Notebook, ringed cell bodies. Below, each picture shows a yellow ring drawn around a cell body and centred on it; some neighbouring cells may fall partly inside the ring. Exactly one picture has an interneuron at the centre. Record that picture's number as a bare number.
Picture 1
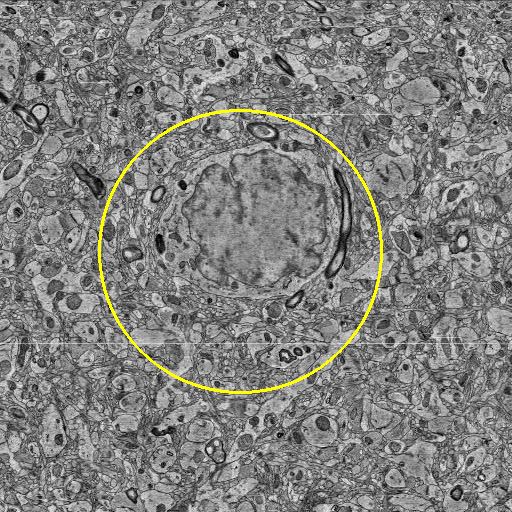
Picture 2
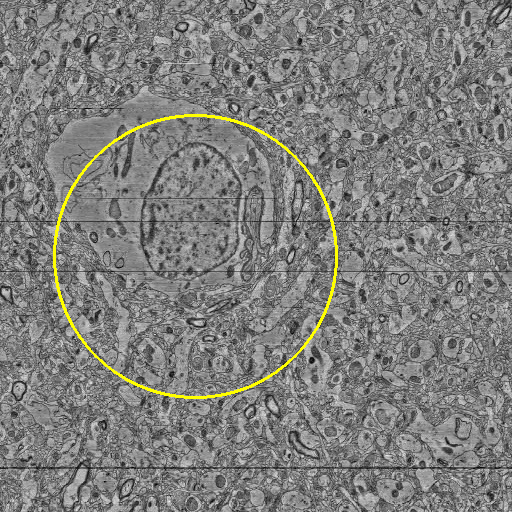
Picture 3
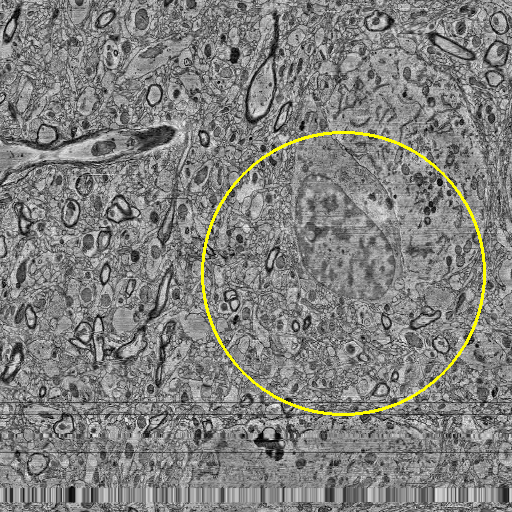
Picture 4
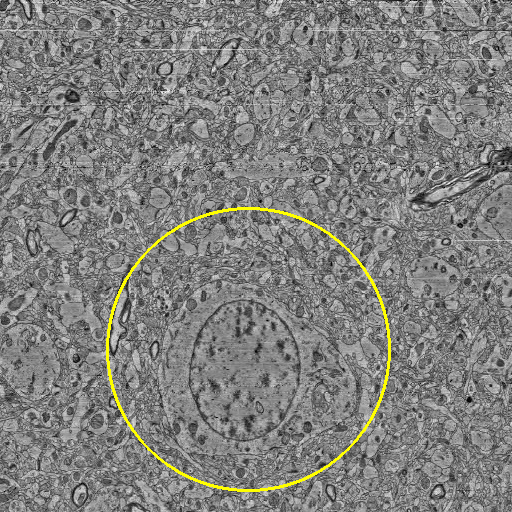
1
